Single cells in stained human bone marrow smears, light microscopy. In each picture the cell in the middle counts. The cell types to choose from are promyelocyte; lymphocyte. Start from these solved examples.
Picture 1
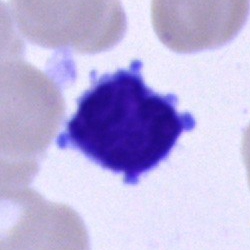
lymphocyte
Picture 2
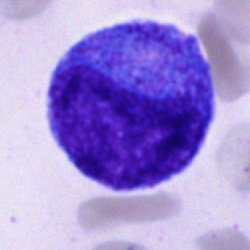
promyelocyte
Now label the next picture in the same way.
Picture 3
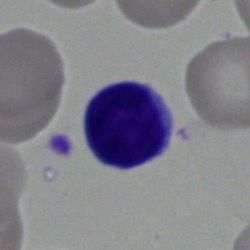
lymphocyte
